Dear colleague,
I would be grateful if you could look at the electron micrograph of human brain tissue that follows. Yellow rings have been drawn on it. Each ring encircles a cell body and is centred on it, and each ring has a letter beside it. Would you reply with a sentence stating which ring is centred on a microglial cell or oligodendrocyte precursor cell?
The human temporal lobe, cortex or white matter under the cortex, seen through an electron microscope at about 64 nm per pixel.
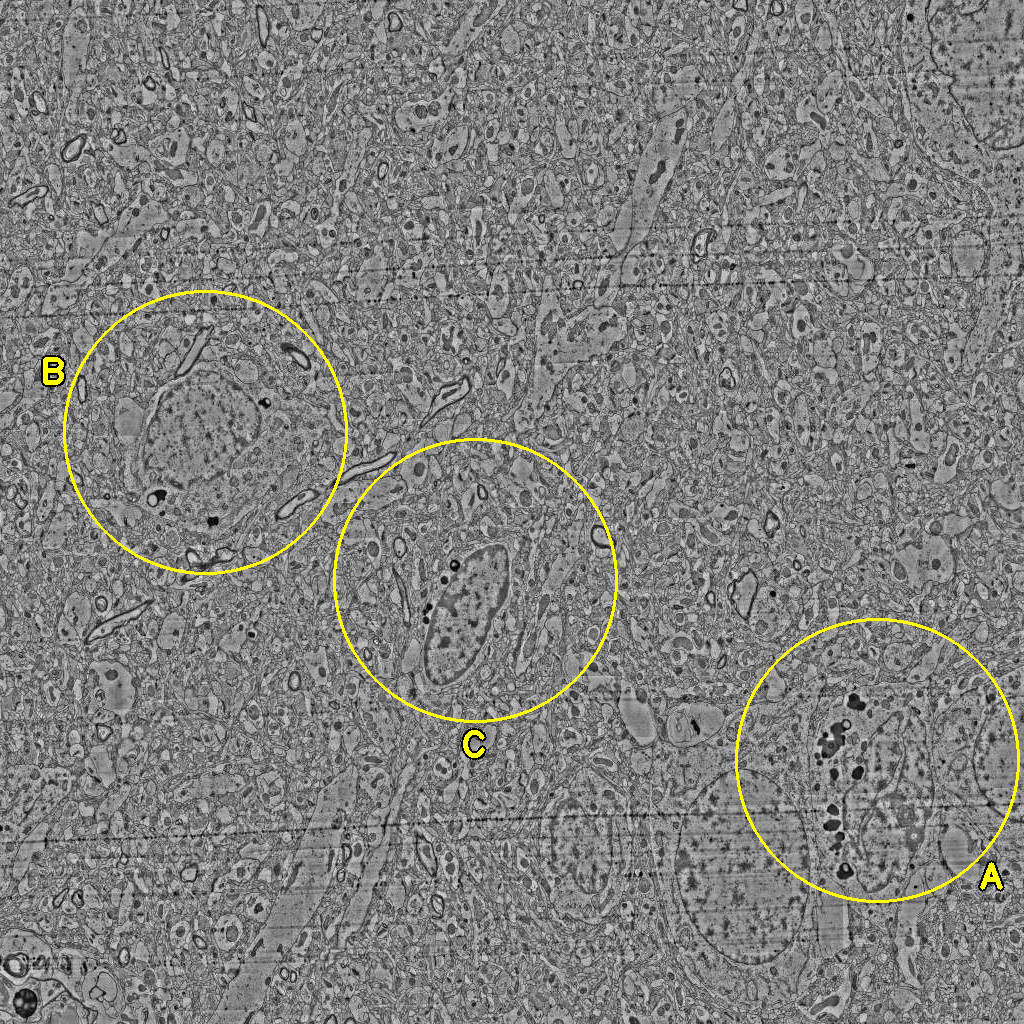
The ring centred on it is ring C.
